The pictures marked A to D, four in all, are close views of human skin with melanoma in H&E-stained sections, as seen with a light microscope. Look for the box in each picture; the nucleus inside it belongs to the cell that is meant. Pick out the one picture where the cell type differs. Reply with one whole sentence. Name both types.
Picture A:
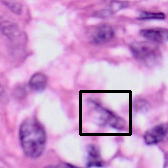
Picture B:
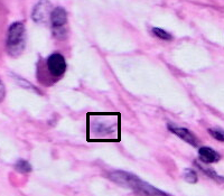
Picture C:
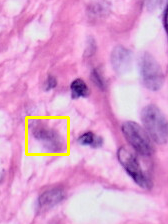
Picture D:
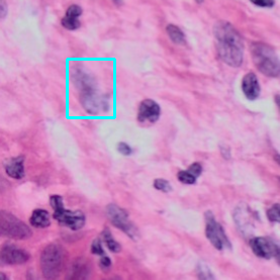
Unlike the rest, which show “fibroblasts or myofibroblasts”, picture A shows a melanoma cell.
